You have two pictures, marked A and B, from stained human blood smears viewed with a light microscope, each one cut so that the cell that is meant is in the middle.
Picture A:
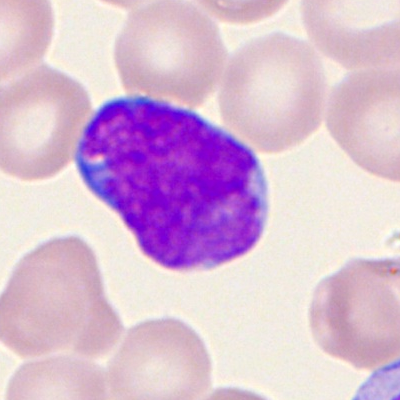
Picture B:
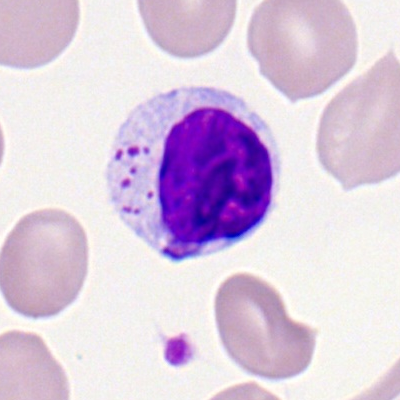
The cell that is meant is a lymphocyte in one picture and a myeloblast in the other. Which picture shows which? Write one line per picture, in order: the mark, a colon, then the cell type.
A: myeloblast
B: lymphocyte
